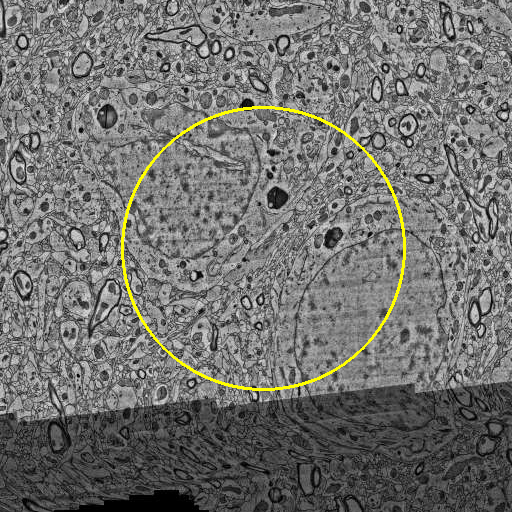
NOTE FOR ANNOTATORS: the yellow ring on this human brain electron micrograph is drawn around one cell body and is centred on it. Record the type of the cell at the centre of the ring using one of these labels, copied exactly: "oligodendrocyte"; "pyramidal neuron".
oligodendrocyte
